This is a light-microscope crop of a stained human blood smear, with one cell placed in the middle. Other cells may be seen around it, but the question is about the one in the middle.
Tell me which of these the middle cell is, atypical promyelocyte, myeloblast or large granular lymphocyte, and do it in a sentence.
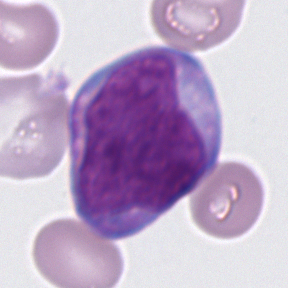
Of the cells in this crop, the central one is an atypical promyelocyte.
